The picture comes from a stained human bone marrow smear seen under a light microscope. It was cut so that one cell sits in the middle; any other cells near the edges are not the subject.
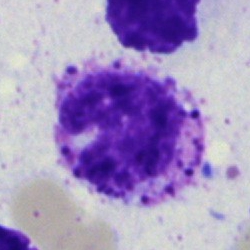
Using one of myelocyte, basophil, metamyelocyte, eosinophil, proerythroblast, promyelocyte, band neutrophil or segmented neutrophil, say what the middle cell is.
basophil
